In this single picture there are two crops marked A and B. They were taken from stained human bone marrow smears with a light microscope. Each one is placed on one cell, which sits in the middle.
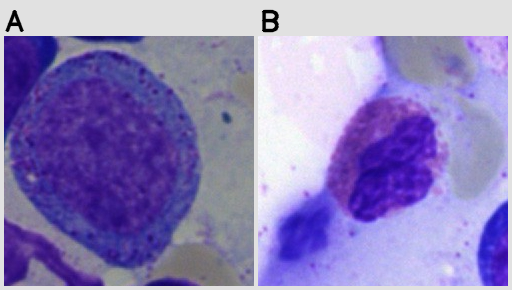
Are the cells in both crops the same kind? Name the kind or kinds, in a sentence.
No, the cell in crop A is a promyelocyte and the one in crop B is an eosinophil.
